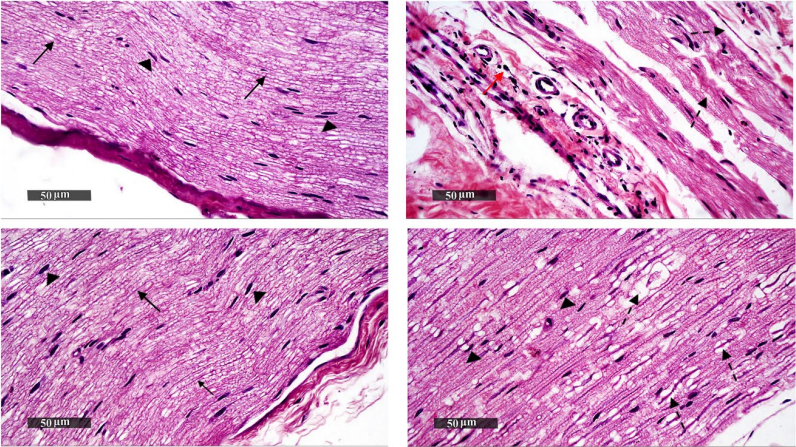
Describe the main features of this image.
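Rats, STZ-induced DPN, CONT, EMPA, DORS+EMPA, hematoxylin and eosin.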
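Four longitudinal sections of sciatic nerve show long, parallel, pink-stained nerve fibers with dark, elongated nuclei of Schwann cells scattered between them. In the upper right section the fibers are separated by wide clear gaps, the tissue is disrupted, and crowded dark nuclei gather around round vessel-like profiles. In the lower right section the fibers contain many pale, empty-looking spaces.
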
